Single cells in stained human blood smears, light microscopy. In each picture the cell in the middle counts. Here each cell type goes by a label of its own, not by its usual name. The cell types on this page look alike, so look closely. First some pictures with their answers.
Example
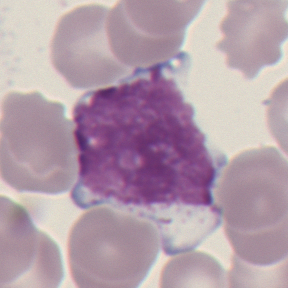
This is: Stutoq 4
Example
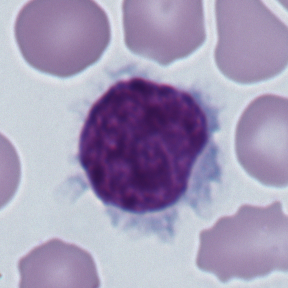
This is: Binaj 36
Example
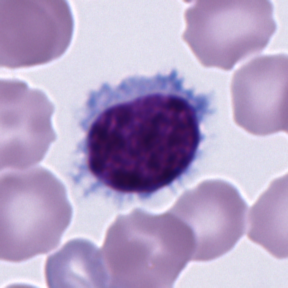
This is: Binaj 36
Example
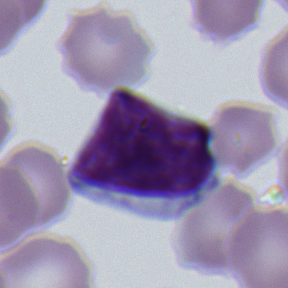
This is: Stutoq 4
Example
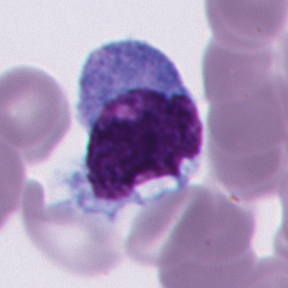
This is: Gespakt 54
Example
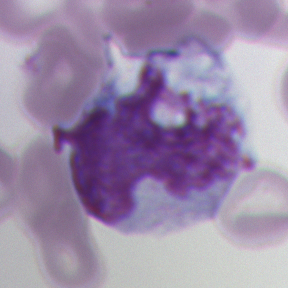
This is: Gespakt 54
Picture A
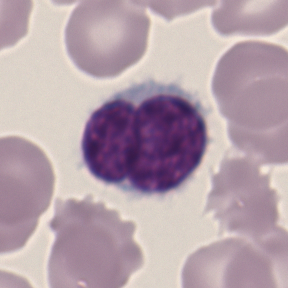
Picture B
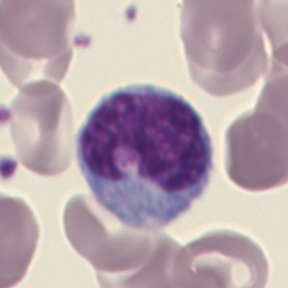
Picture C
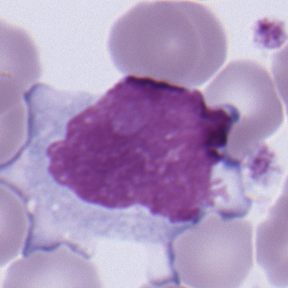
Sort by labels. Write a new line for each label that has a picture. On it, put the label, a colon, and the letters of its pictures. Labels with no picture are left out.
Binaj 36: A
Gespakt 54: B, C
